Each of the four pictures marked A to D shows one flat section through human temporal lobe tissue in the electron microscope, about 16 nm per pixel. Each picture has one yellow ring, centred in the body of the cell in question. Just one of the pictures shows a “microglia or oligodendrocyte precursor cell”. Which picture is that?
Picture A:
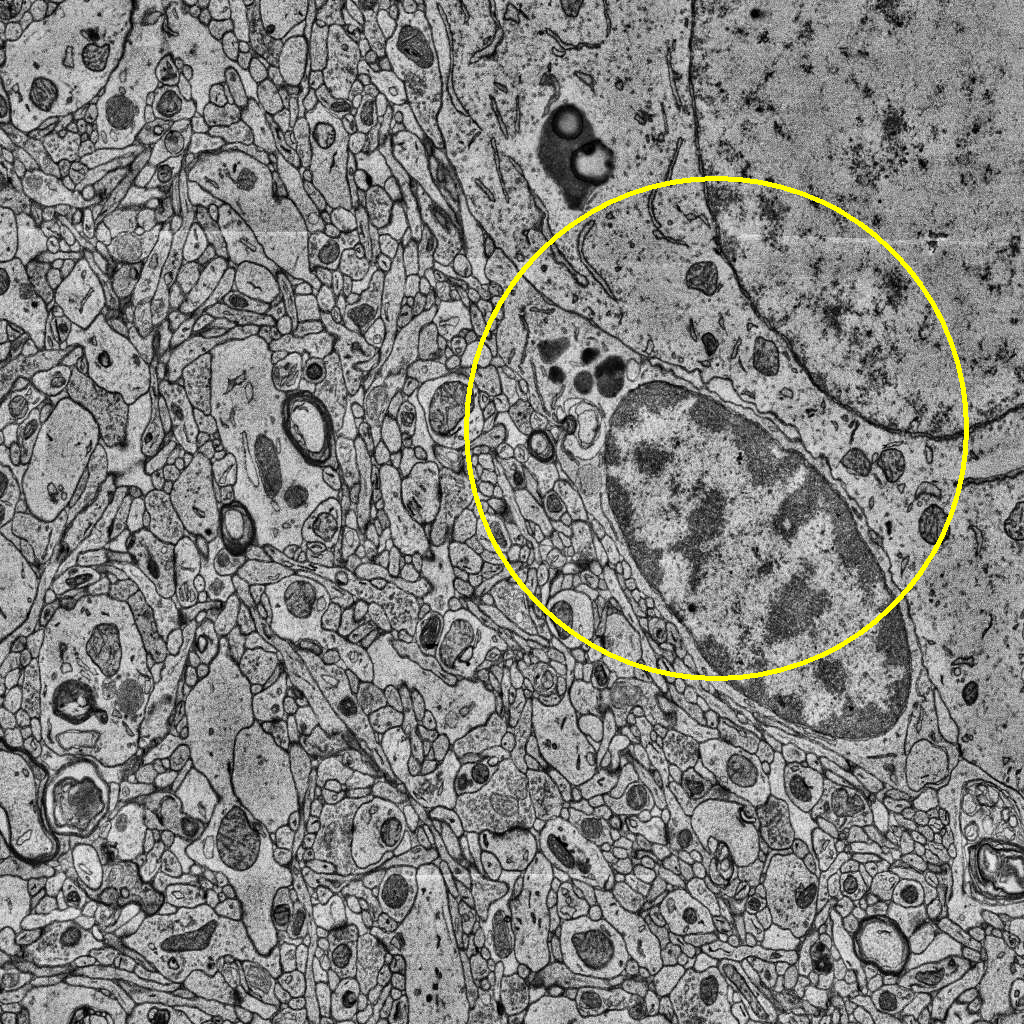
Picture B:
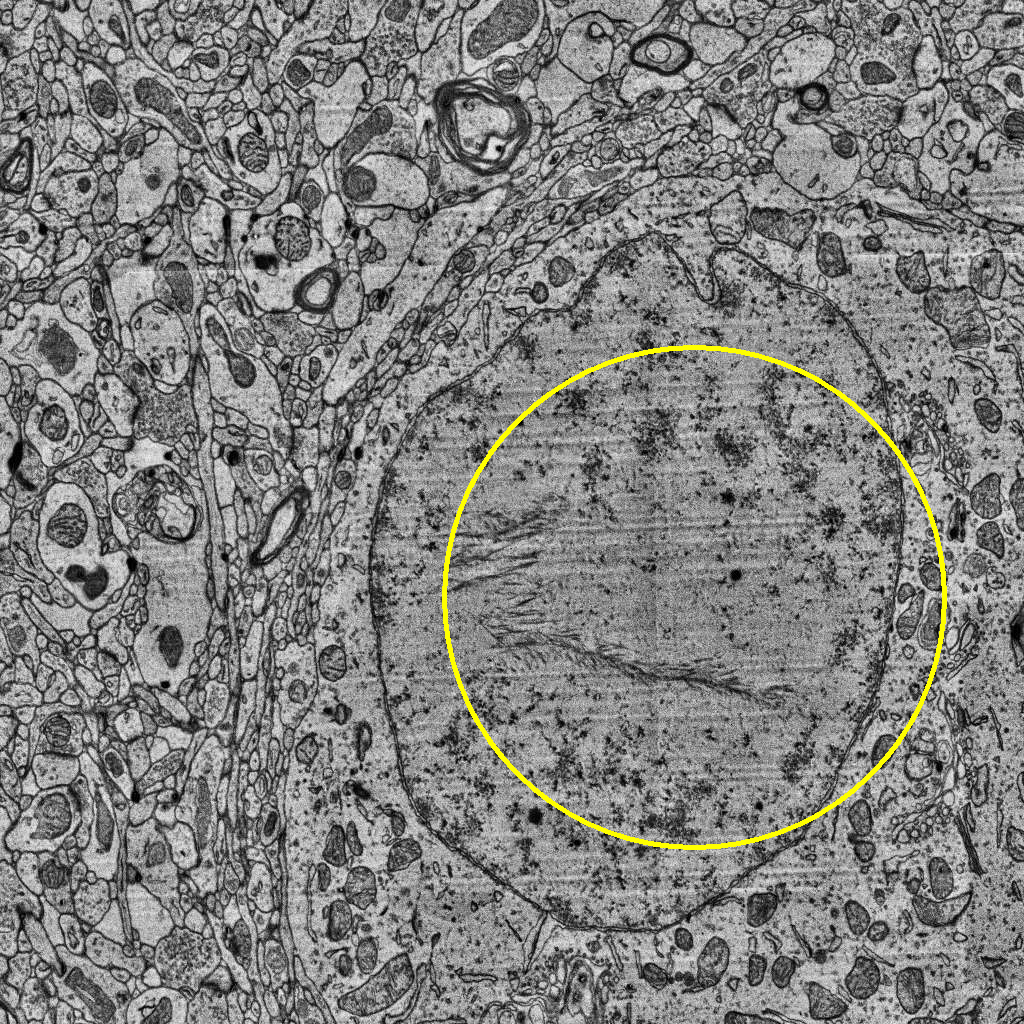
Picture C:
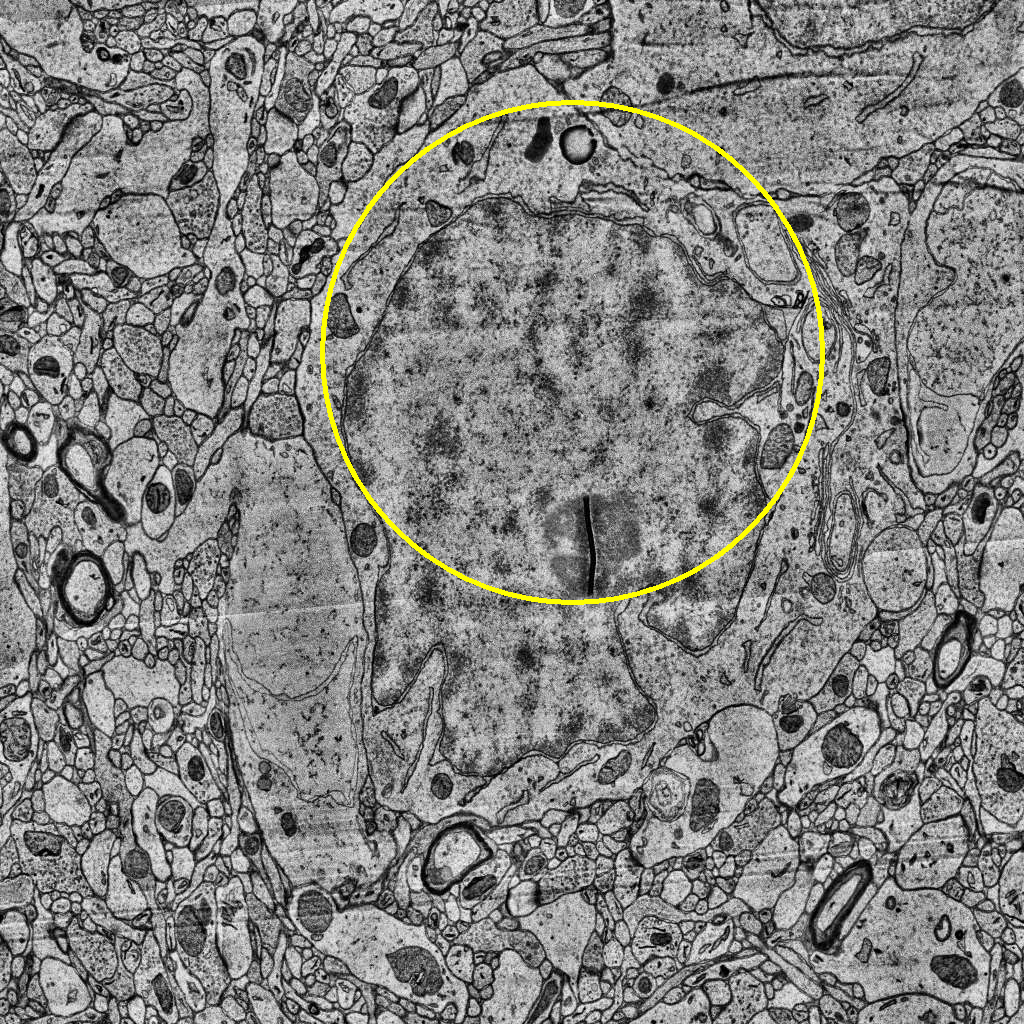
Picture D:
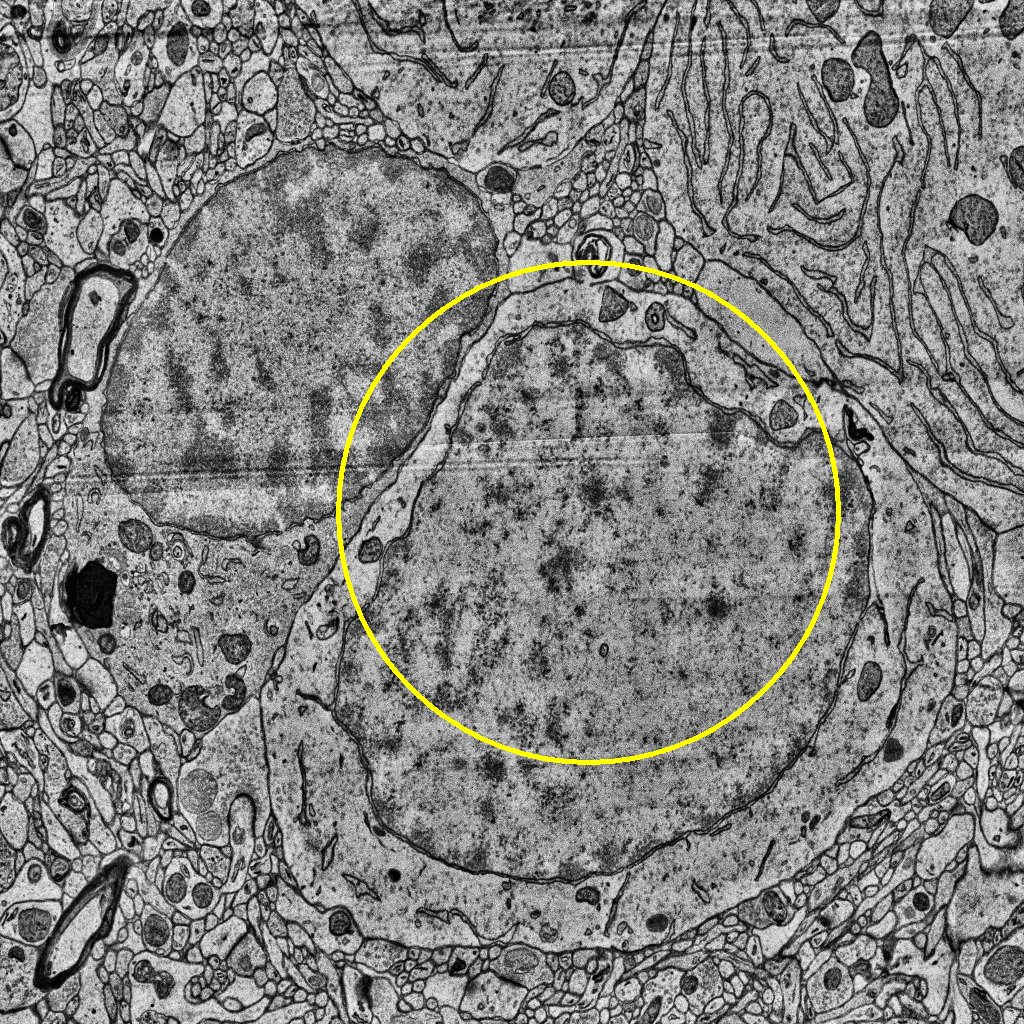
The “microglia or oligodendrocyte precursor cell” is the one in picture A.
